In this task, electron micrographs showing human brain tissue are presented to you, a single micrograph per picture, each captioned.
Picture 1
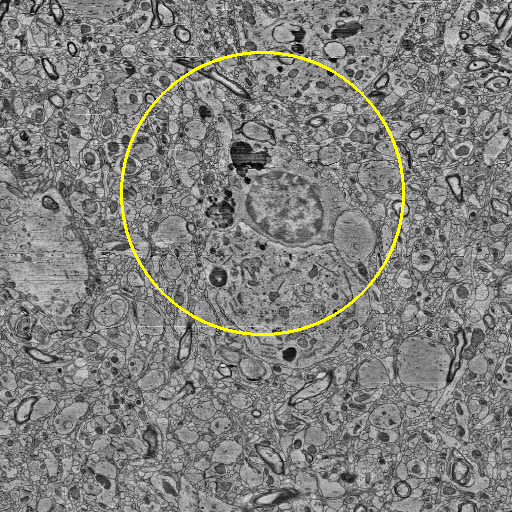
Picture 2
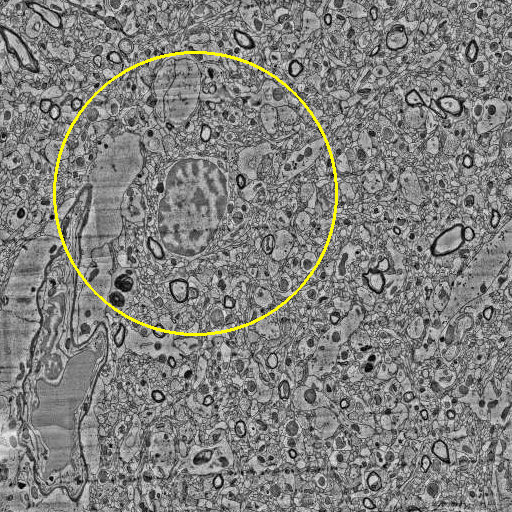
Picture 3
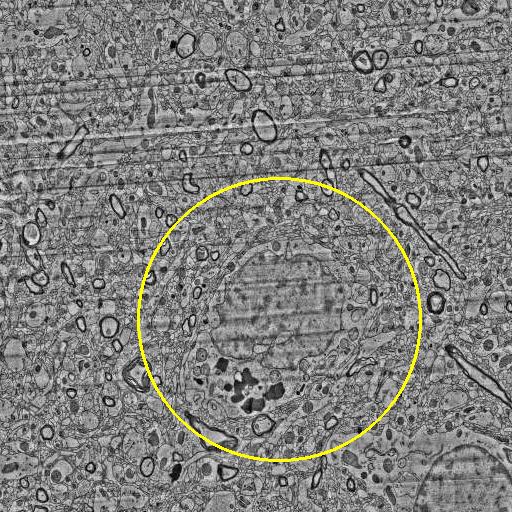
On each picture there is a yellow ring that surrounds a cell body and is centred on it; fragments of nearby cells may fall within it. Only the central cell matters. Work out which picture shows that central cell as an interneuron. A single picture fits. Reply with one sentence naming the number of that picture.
Of all the pictures, number 3 has the right cell in the centre of its ring.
